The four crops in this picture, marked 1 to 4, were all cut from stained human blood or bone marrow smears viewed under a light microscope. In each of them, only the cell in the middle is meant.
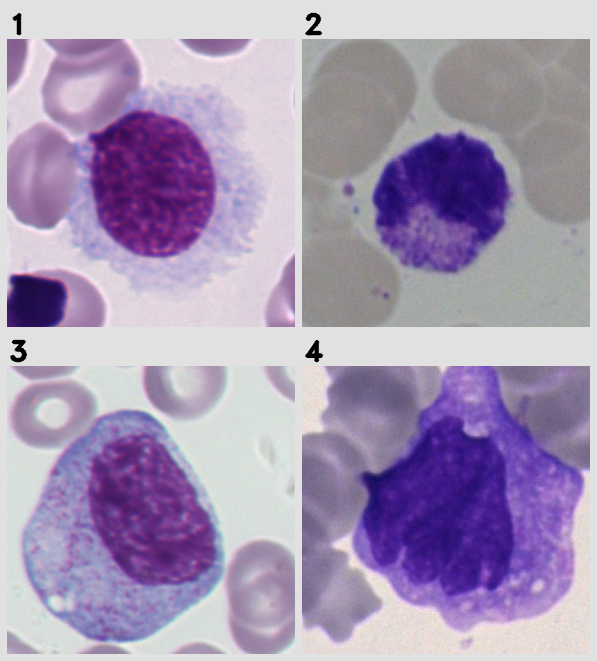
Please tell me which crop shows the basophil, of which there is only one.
2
